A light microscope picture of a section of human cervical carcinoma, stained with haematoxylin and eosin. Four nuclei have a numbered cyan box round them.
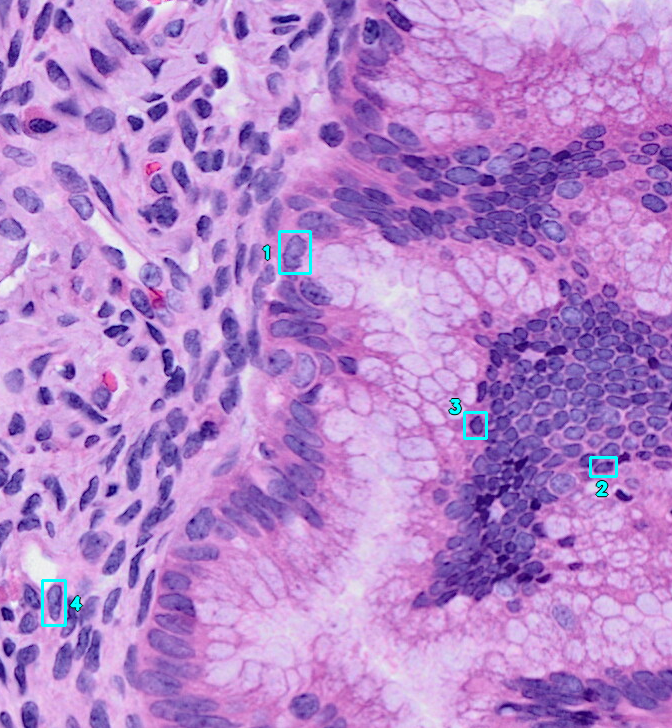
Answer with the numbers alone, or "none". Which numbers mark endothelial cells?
4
